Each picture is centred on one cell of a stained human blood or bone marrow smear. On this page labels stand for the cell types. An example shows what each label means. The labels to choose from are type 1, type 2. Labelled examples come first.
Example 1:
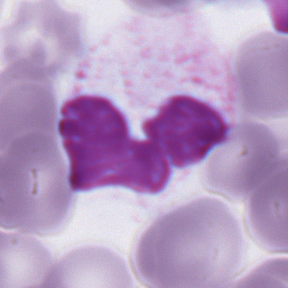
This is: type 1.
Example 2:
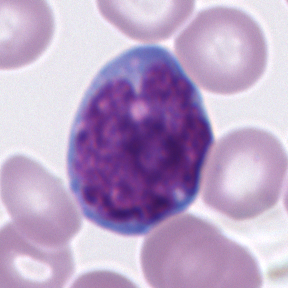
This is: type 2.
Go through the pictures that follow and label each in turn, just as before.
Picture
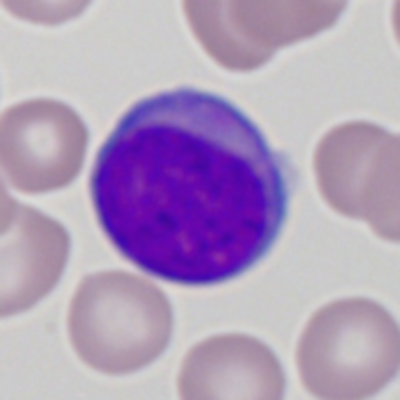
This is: type 2.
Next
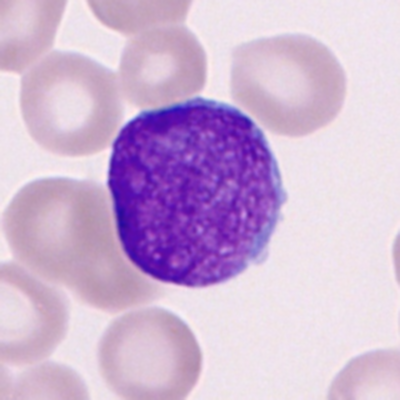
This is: type 2.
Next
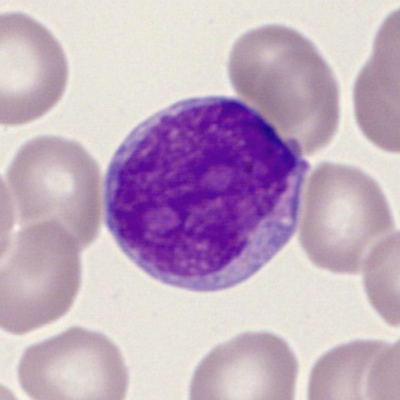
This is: type 2.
